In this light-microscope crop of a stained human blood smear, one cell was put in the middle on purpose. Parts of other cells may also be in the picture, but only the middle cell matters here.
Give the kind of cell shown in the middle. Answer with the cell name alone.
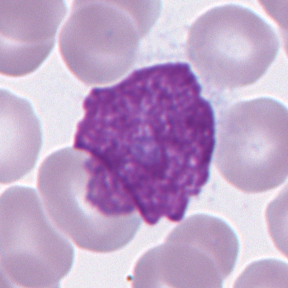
smudge cell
